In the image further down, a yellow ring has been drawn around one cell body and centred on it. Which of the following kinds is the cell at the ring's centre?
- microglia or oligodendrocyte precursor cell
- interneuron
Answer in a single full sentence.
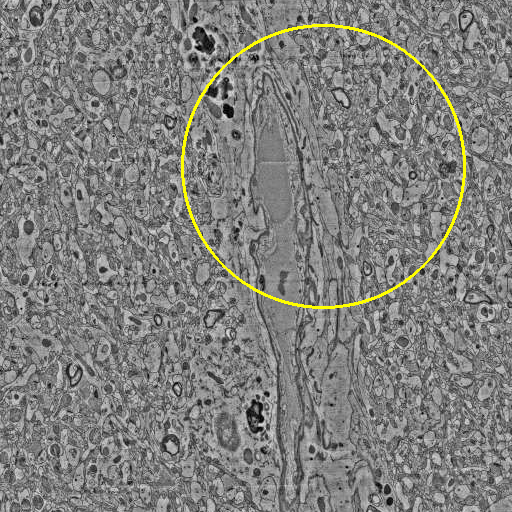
In the picture, the cell sitting at the centre of the yellow ring is a microglial cell or oligodendrocyte precursor cell.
